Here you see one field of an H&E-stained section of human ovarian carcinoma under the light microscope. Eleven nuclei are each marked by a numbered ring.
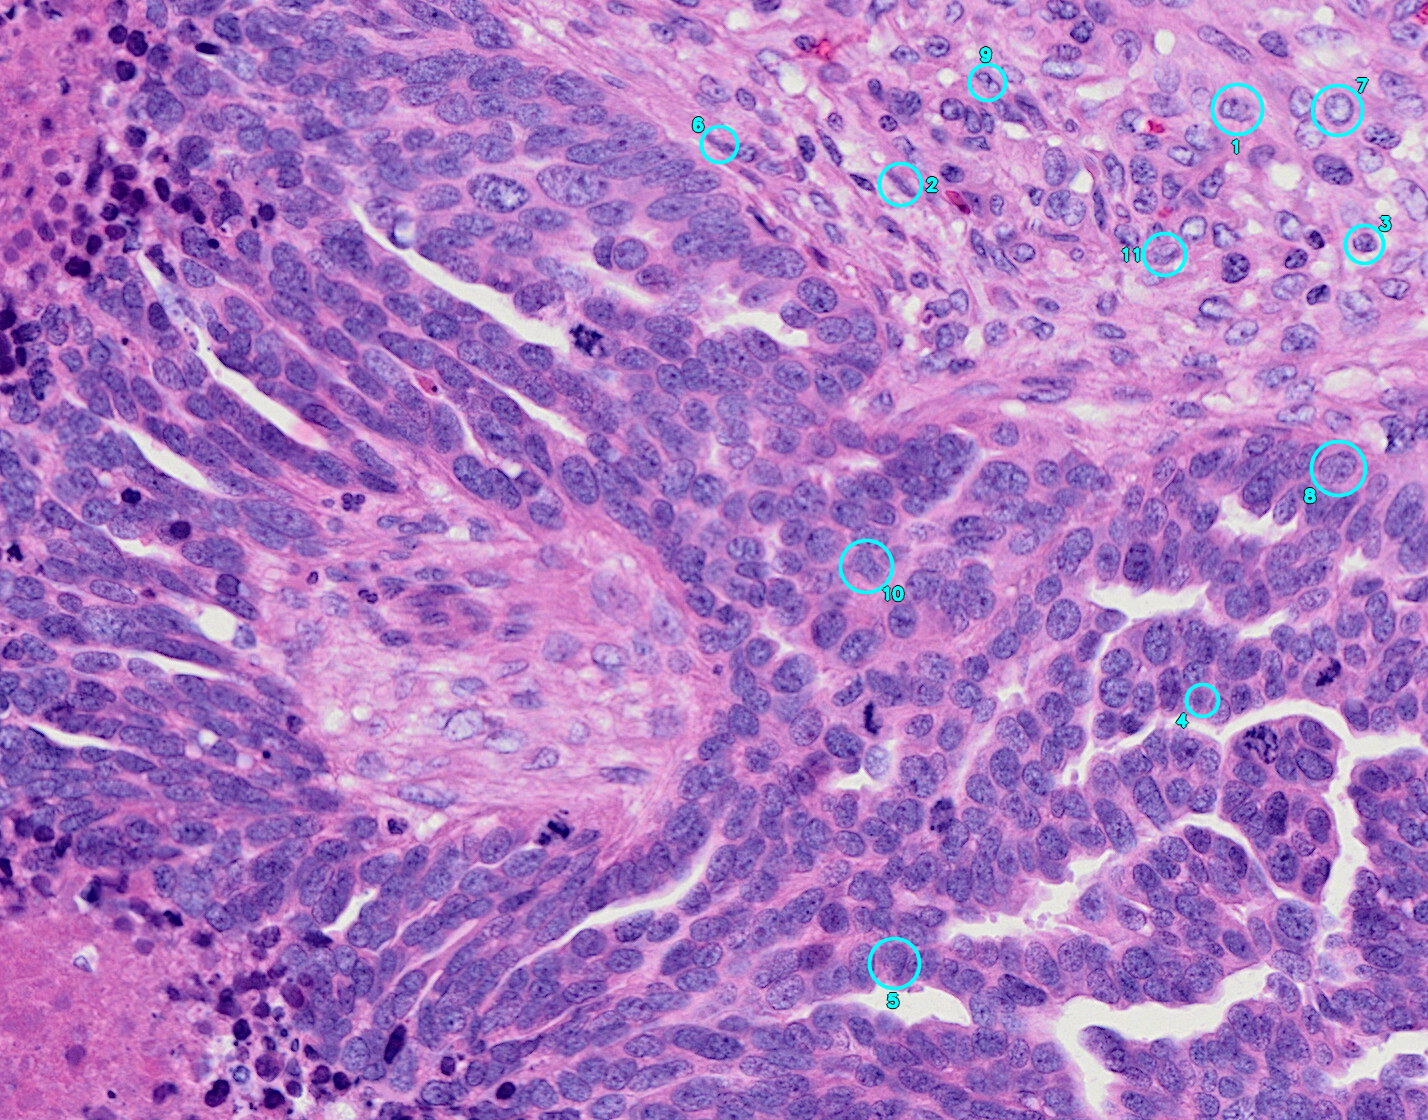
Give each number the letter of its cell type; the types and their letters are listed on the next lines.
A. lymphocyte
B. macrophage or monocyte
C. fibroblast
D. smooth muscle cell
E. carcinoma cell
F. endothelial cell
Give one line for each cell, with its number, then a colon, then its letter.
1: C
2: C
3: A
4: E
5: E
6: C
7: C
8: E
9: C
10: E
11: C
